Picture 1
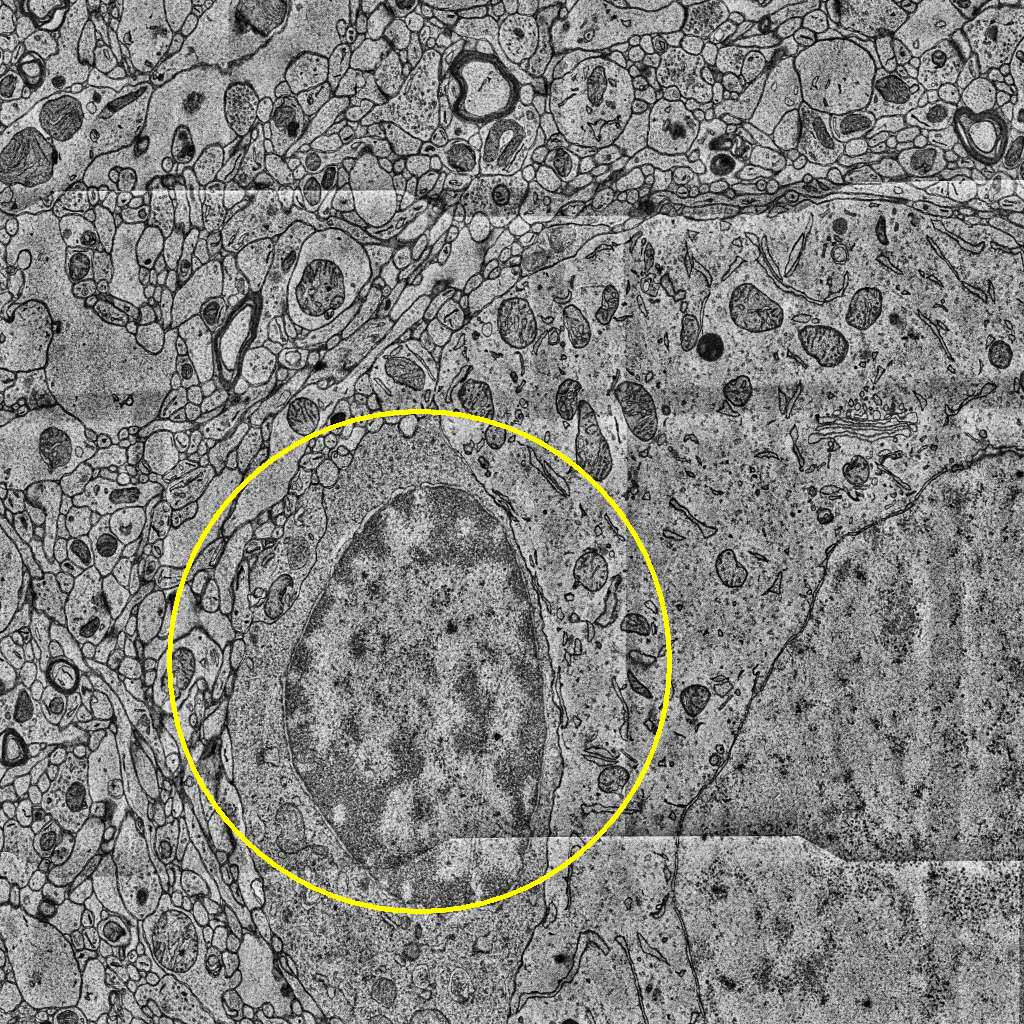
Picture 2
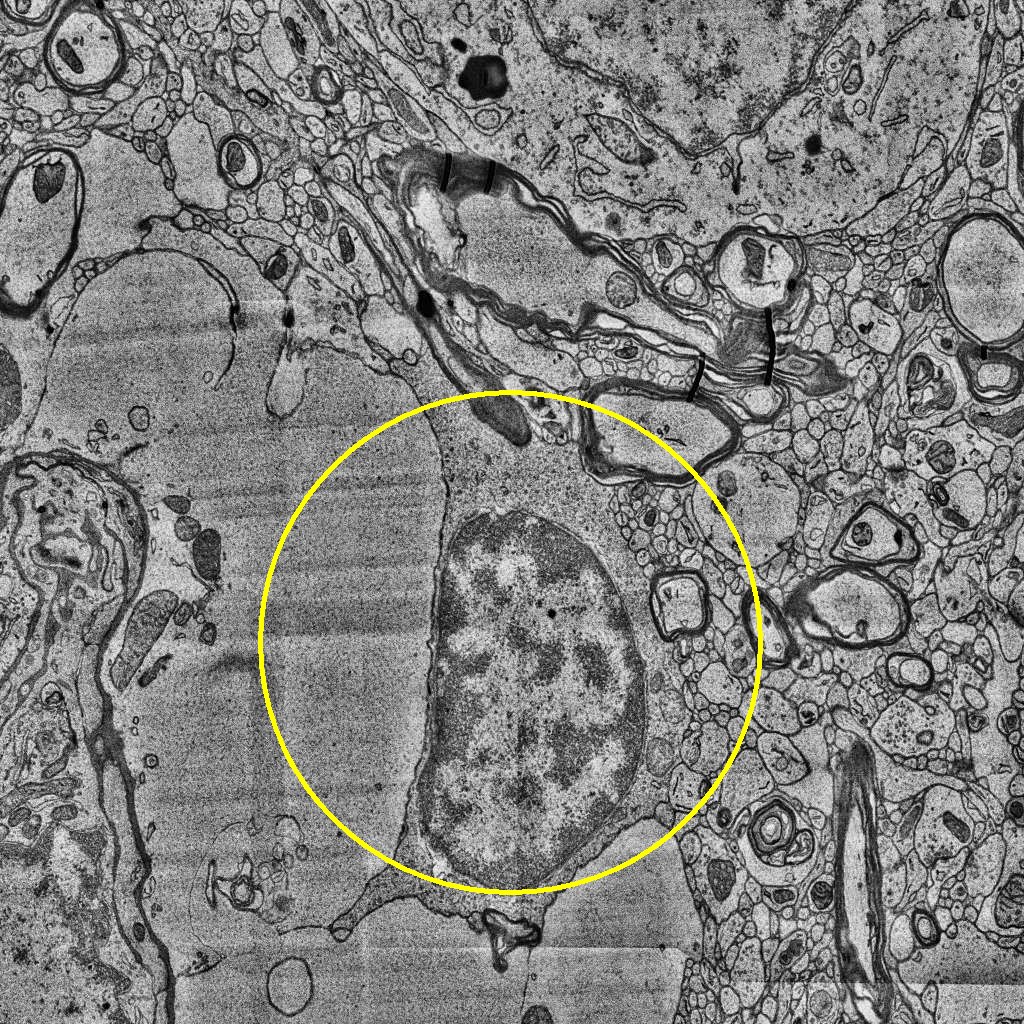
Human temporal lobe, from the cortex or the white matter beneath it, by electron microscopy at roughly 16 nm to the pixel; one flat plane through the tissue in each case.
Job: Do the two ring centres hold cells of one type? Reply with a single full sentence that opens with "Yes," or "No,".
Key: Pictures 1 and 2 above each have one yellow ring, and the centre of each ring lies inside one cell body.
Yes, the cells at the two ring centres are of one single type.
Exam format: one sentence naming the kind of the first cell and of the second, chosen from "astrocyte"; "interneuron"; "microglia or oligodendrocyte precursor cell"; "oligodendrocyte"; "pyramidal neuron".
The ring centre holds an oligodendrocyte in each of the two pictures.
